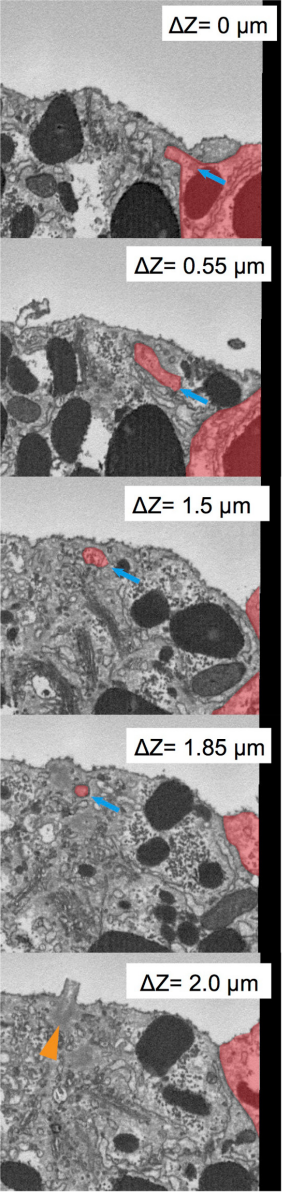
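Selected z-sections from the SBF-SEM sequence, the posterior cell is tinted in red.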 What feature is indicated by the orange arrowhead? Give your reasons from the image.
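In the lowest section a slender rod-shaped process projects from the cell surface above the arrowhead. On this evidence: the centriole and cilium complex.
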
